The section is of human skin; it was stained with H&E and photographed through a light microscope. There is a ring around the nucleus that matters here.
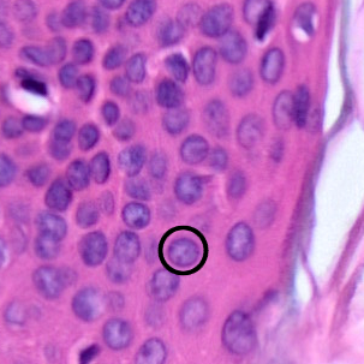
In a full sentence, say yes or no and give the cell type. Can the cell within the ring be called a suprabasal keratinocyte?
Yes, in this section the cell within the ring is a suprabasal keratinocyte.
